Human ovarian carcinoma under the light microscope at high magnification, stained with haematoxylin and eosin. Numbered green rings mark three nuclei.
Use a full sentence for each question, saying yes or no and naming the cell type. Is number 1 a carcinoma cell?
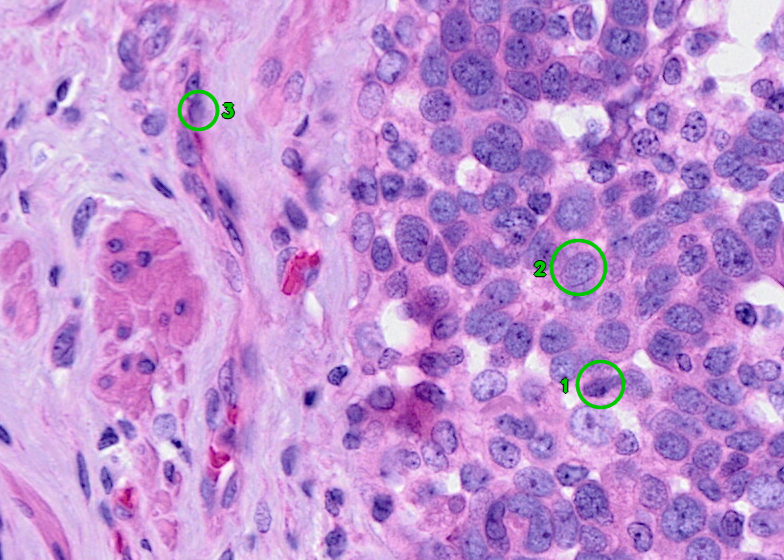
No, the cell at marker 1 is not a carcinoma cell; it is a macrophage or monocyte.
